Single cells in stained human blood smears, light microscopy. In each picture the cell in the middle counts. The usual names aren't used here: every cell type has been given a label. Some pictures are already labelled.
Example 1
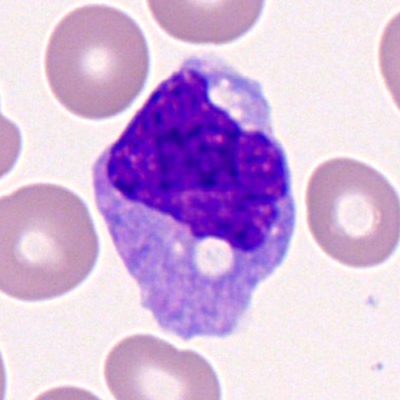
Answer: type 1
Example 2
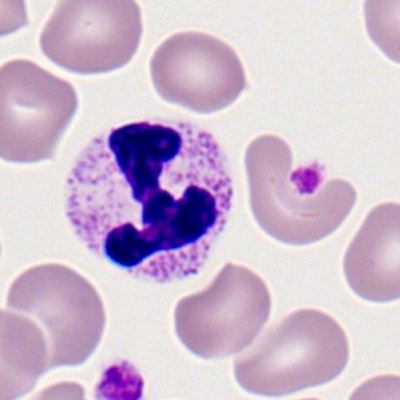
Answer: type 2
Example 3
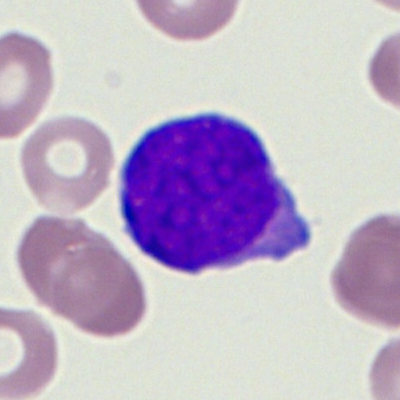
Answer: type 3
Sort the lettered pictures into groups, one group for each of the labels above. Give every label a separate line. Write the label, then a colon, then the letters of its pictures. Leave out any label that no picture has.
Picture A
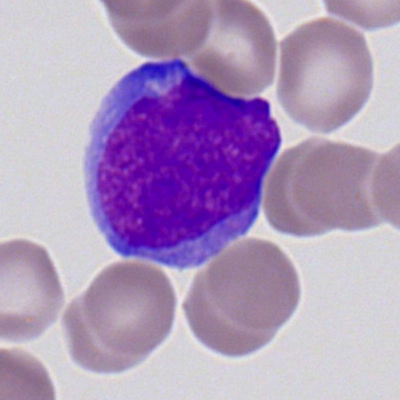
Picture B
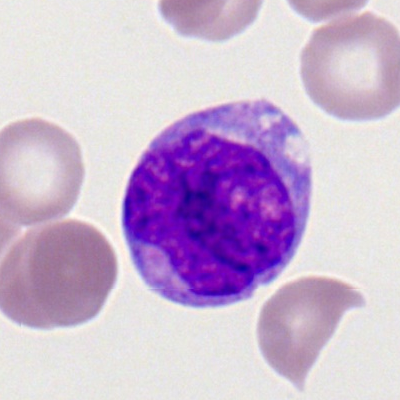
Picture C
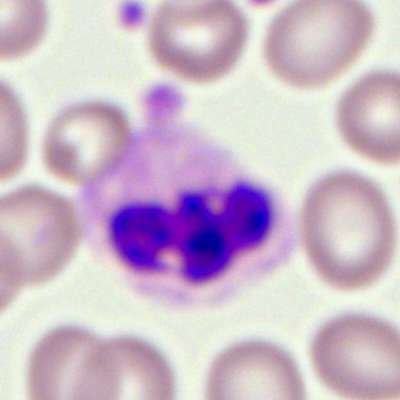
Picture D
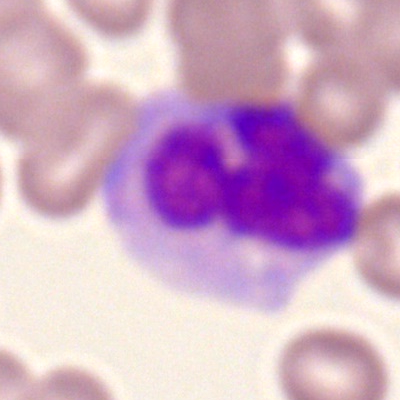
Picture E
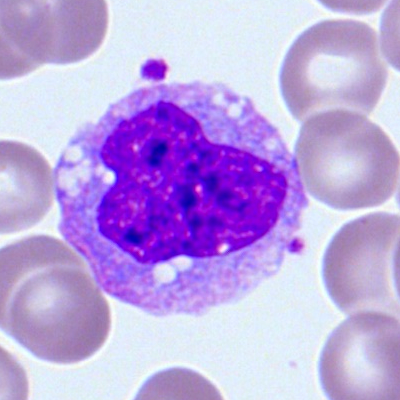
type 1: B, D, E
type 2: C
type 3: A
